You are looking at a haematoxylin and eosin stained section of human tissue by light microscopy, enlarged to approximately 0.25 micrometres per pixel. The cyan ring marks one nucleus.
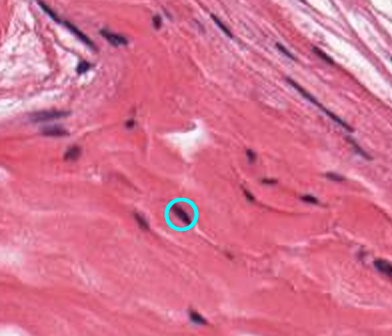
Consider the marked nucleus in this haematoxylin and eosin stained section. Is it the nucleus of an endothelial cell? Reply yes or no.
no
